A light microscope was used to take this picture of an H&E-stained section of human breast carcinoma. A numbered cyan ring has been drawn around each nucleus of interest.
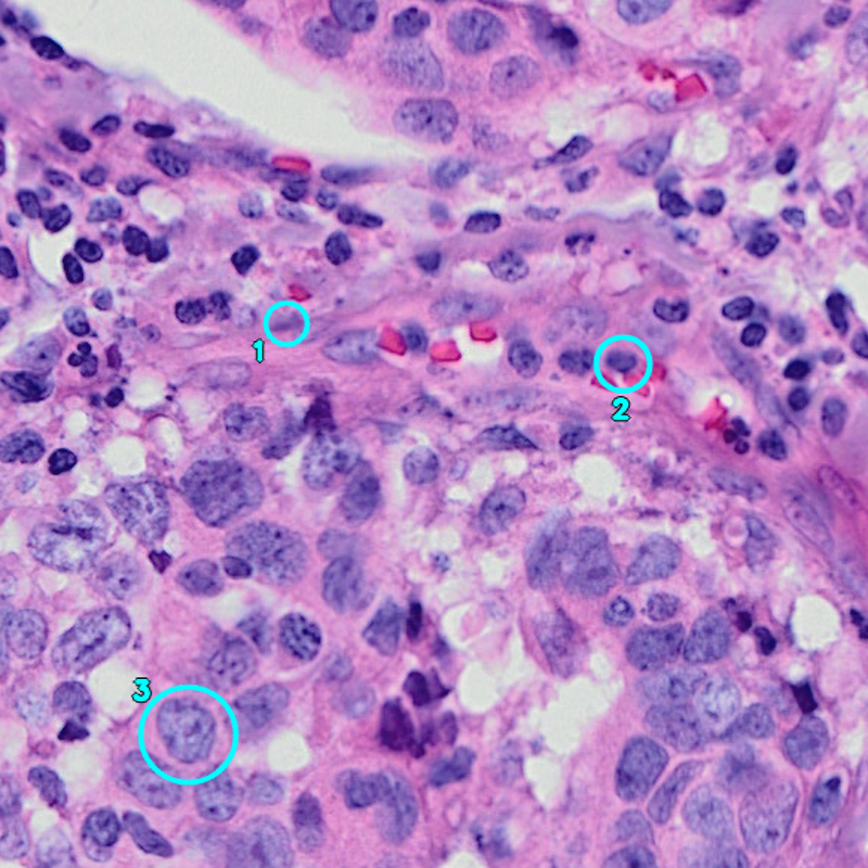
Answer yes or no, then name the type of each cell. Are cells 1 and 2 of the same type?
Yes, both are endothelial cells.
